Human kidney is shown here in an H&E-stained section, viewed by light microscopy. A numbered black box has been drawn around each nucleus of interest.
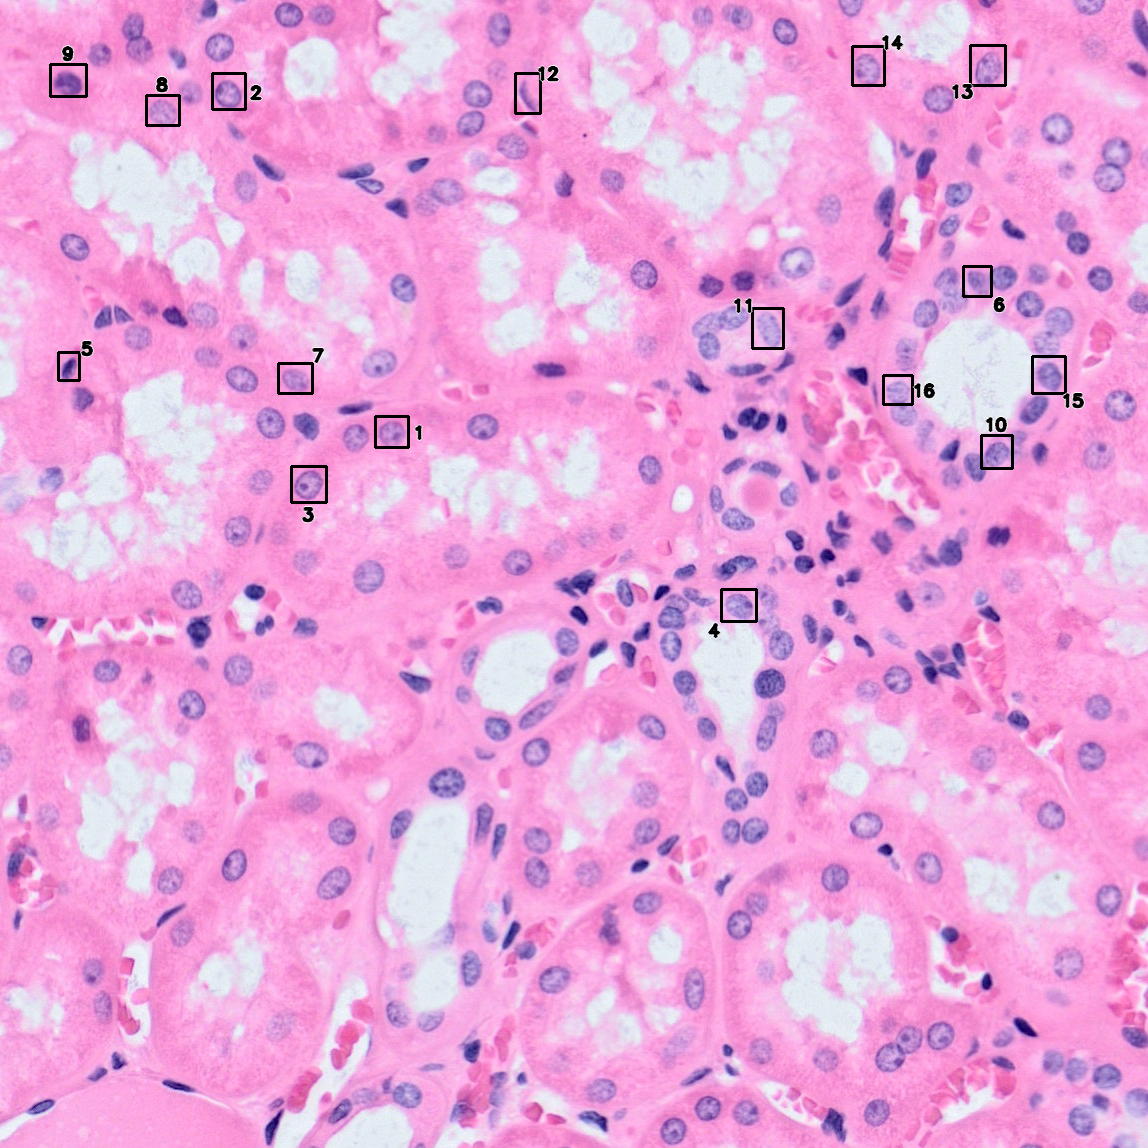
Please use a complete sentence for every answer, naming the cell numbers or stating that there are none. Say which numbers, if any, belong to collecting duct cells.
In this section, the cells labelled 4, 6, 10, 11, 15 and 16 are collecting duct cells.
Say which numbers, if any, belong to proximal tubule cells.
The cells numbered 1, 2, 3, 7, 8, 9, 13 and 14 are of the kind known as proximal tubule cells.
